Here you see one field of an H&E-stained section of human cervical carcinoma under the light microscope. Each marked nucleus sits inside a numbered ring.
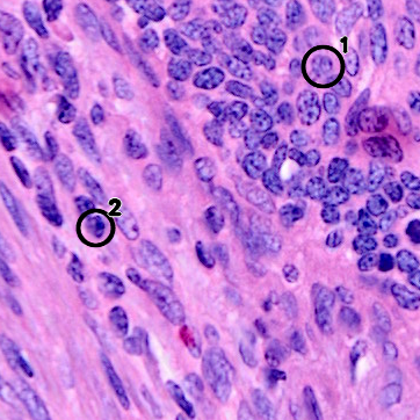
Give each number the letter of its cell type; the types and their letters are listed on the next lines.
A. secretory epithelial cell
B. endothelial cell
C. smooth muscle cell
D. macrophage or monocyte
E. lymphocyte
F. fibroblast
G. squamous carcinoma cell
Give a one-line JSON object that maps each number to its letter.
{"1": "G", "2": "E"}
